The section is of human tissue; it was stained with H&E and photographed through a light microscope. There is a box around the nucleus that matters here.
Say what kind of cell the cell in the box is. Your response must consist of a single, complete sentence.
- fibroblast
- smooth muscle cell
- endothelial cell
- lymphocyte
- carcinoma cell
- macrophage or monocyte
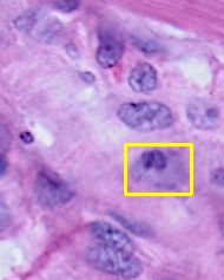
In the stained section, the cell in the box is a fibroblast.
